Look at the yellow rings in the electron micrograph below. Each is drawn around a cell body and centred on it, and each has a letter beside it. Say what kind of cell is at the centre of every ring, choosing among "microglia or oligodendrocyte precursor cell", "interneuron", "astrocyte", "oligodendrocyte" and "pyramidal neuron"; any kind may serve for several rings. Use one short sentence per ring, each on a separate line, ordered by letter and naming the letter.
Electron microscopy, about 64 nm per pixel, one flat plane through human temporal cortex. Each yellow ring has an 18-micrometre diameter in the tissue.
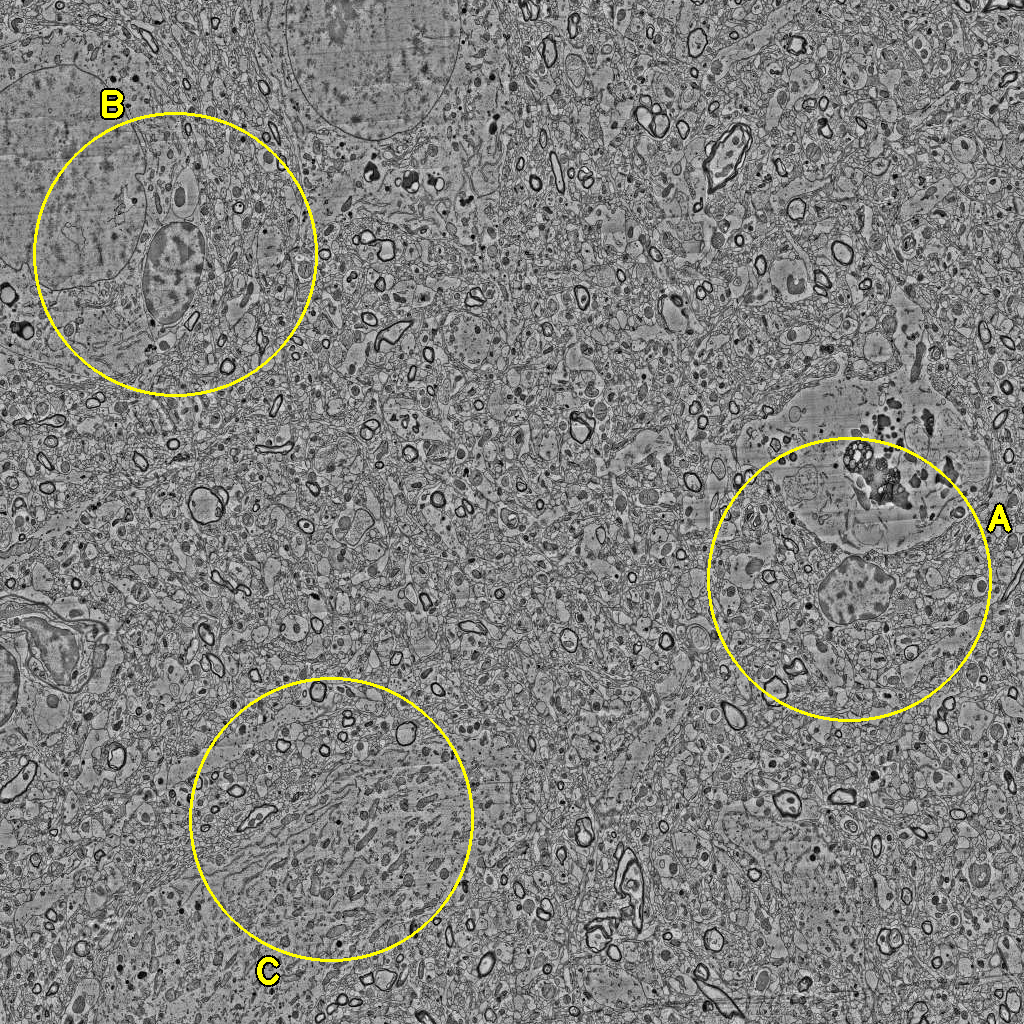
Ring A encircles a microglial cell or oligodendrocyte precursor cell.
Ring B encircles a microglial cell or oligodendrocyte precursor cell.
Ring C encircles a pyramidal neuron.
